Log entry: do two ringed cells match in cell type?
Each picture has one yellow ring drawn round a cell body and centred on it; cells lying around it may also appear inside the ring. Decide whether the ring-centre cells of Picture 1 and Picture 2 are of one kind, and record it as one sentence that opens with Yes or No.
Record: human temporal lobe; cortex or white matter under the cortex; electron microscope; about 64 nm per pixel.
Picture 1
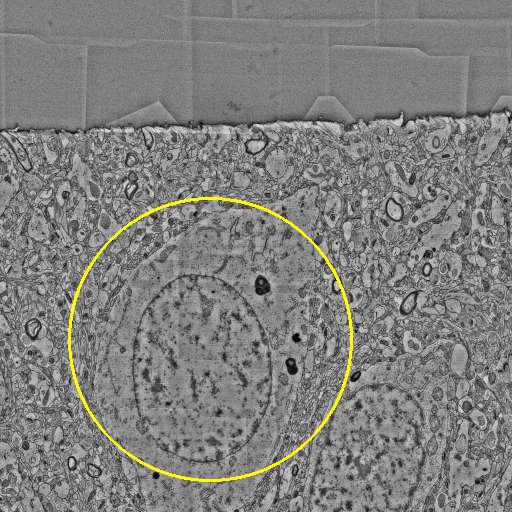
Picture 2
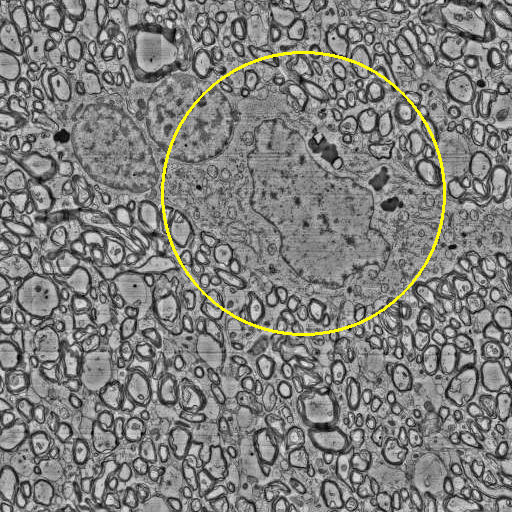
Yes, the cells at the ring centres of the two pictures belong to one kind.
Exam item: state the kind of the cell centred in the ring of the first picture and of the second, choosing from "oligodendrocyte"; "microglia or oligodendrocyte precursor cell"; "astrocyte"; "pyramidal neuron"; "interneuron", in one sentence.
Both the first and the second picture show a pyramidal neuron in the ring.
